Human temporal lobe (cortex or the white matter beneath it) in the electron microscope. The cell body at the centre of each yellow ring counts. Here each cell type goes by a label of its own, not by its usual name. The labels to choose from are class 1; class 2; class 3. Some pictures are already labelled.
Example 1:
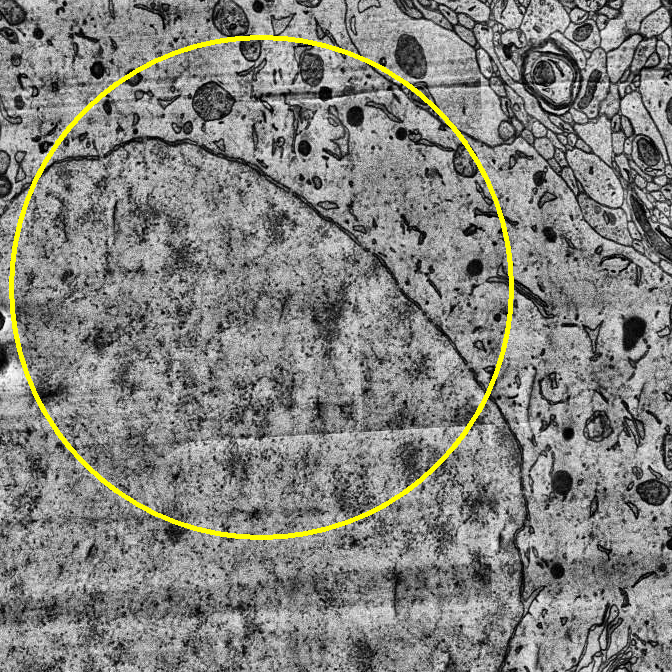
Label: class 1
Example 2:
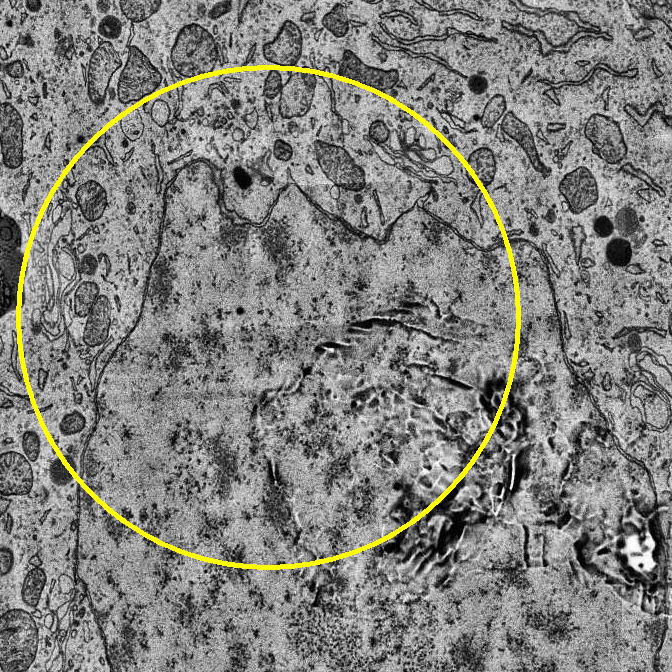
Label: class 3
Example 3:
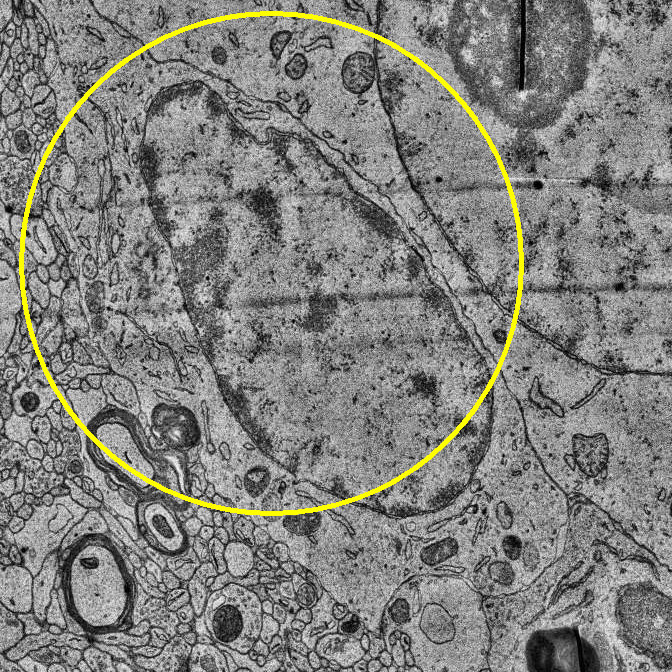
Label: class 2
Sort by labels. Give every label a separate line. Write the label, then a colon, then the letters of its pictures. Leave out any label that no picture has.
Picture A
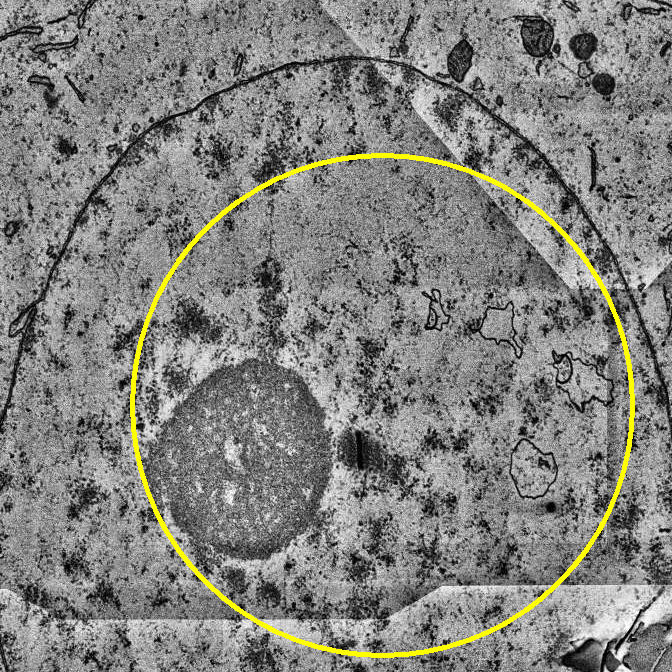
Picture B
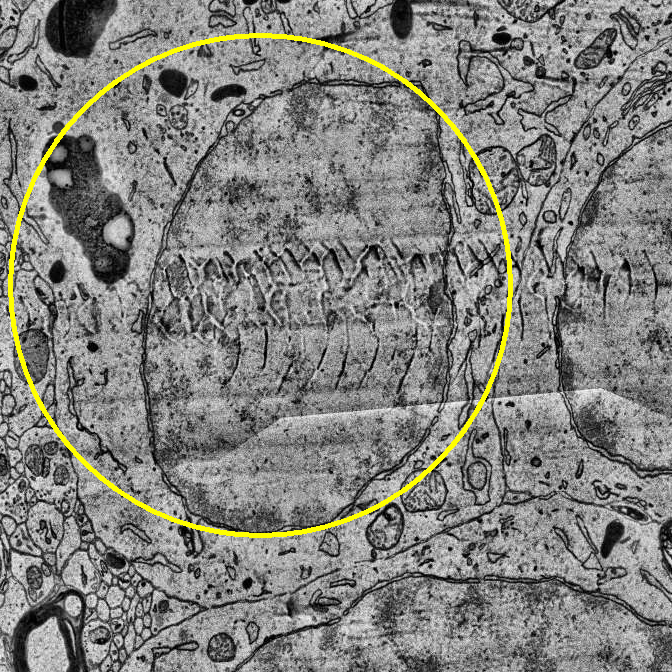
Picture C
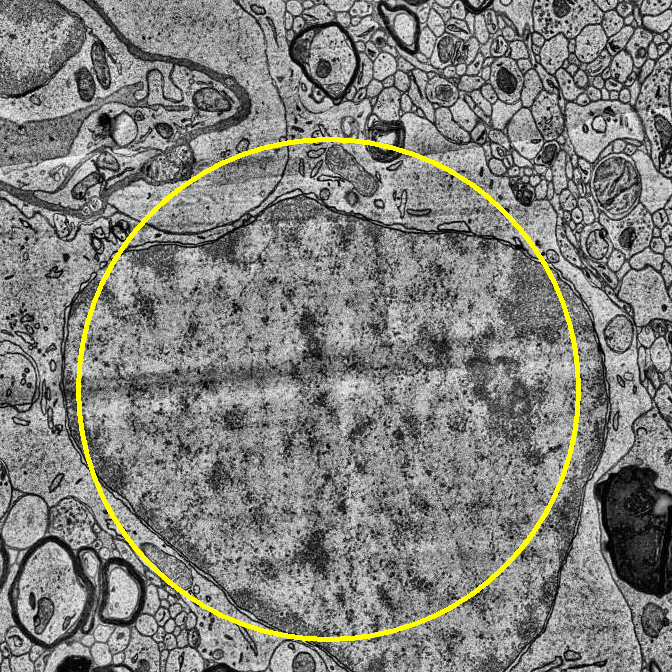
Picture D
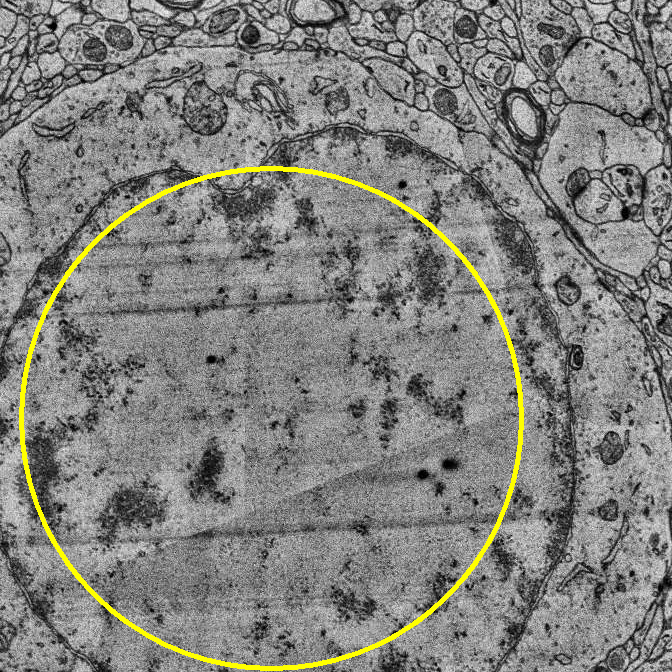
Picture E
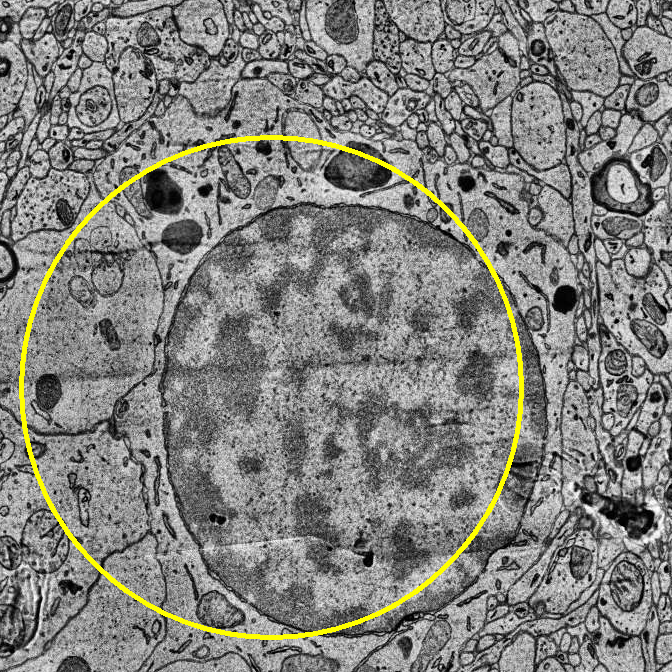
class 1: A, B
class 2: C, E
class 3: D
